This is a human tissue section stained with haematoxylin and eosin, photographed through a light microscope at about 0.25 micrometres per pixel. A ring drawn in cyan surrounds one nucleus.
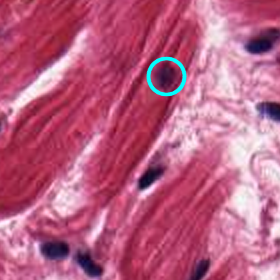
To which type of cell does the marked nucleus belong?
cardiomyocyte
